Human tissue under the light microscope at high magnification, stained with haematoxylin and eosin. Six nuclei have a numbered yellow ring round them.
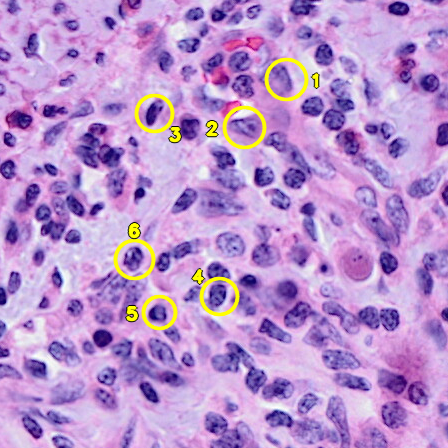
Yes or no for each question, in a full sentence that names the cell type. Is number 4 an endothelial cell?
No, cell 4 does not represent an endothelial cell; it represents a lymphocyte.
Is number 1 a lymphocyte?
No, at number 1 sits an endothelial cell, not a lymphocyte.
